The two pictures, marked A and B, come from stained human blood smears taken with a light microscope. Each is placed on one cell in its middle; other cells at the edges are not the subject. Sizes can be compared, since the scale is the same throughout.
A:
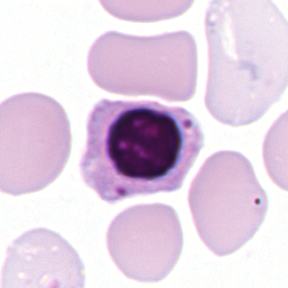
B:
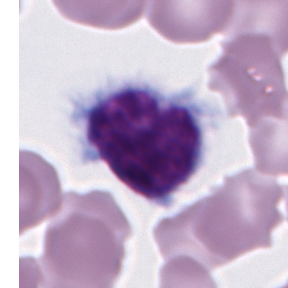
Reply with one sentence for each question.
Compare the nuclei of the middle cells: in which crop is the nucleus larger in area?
It is the nucleus in crop B, about 2 times as large in area as the one in crop A.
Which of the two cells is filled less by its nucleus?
It is the cell in crop A that is filled less by its nucleus.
